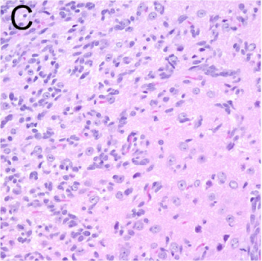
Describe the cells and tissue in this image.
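This shows the edge of a tumor meeting brain tissue, with crowded cells on the left and paler pink brain parenchyma on the right. On the right the tissue is a pink fibrillary background with fewer, rounder nuclei, some with visible nucleoli and pink cytoplasm like neurons. Dark tumor nuclei spread out from the dense area into the pink tissue, with no sharp boundary between them. This picture is of tumor invading the surrounding brain.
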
